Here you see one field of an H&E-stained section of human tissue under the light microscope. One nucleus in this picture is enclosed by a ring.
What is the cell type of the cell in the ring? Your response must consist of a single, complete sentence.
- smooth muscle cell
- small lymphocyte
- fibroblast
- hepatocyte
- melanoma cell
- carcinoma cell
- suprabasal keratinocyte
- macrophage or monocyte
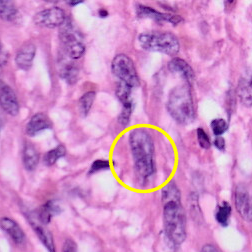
The expected answer is simply that the cell in the ring is a melanoma cell.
